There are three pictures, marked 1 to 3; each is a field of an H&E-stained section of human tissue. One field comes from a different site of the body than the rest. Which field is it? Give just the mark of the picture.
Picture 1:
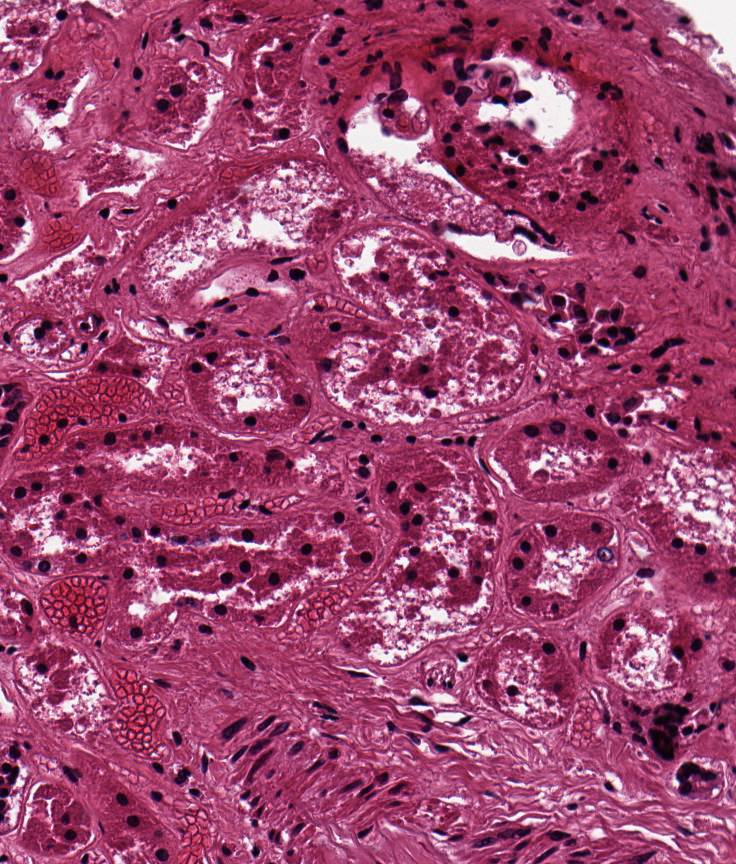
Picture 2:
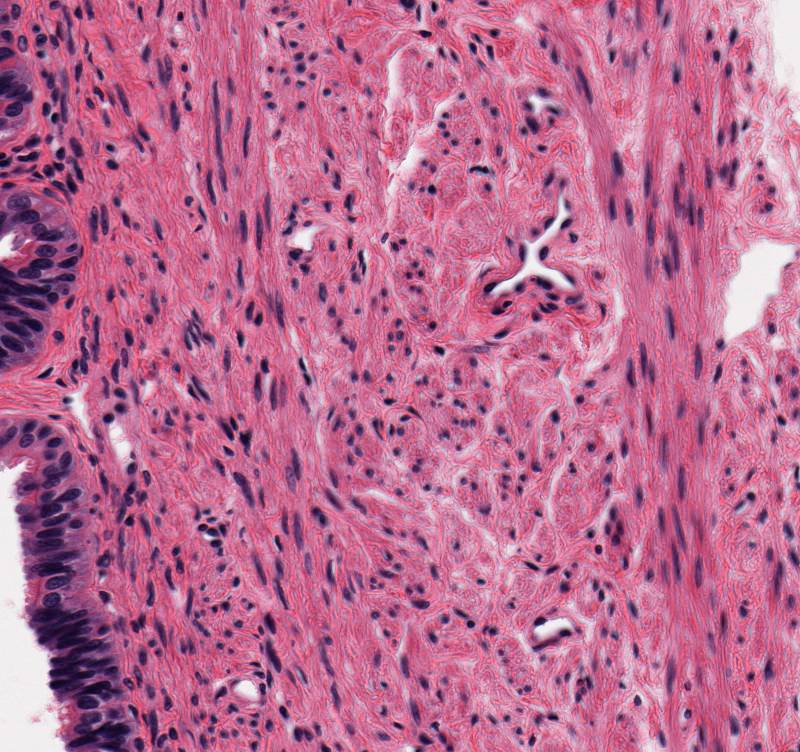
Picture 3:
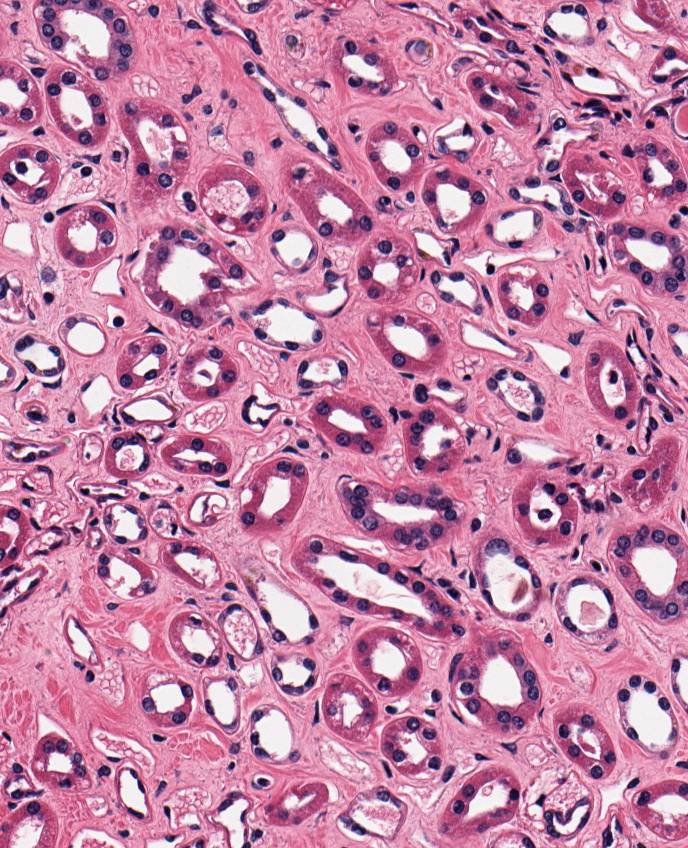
2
